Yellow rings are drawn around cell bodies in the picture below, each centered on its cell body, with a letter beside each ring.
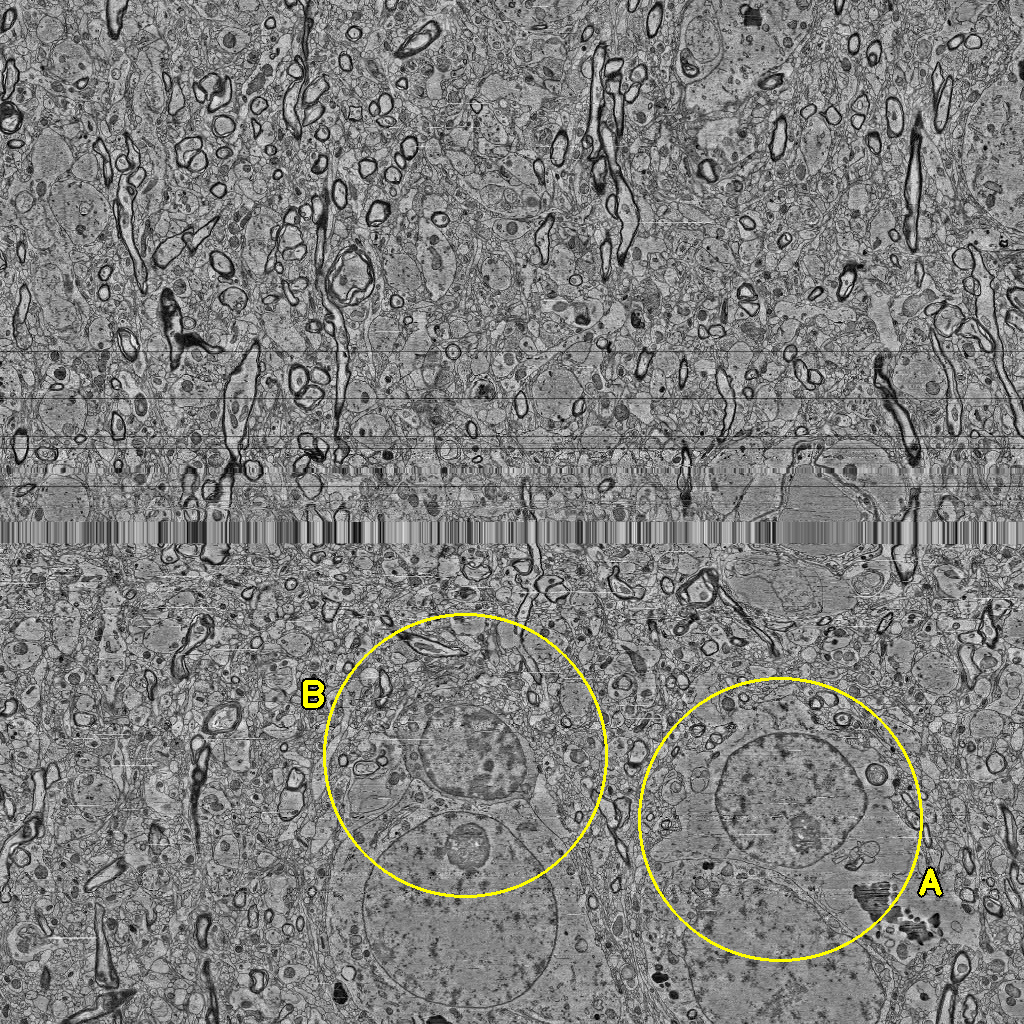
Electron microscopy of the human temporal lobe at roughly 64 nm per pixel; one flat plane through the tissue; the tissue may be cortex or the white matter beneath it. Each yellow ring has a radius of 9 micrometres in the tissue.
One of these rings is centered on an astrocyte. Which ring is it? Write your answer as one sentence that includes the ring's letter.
It is ring A.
